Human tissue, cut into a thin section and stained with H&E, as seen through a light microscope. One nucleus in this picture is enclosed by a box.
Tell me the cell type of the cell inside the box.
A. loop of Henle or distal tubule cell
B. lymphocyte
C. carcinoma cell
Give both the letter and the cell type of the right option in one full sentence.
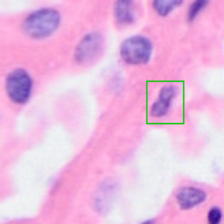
Option A gets it right: the cell inside the box is a loop of Henle or distal tubule cell.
